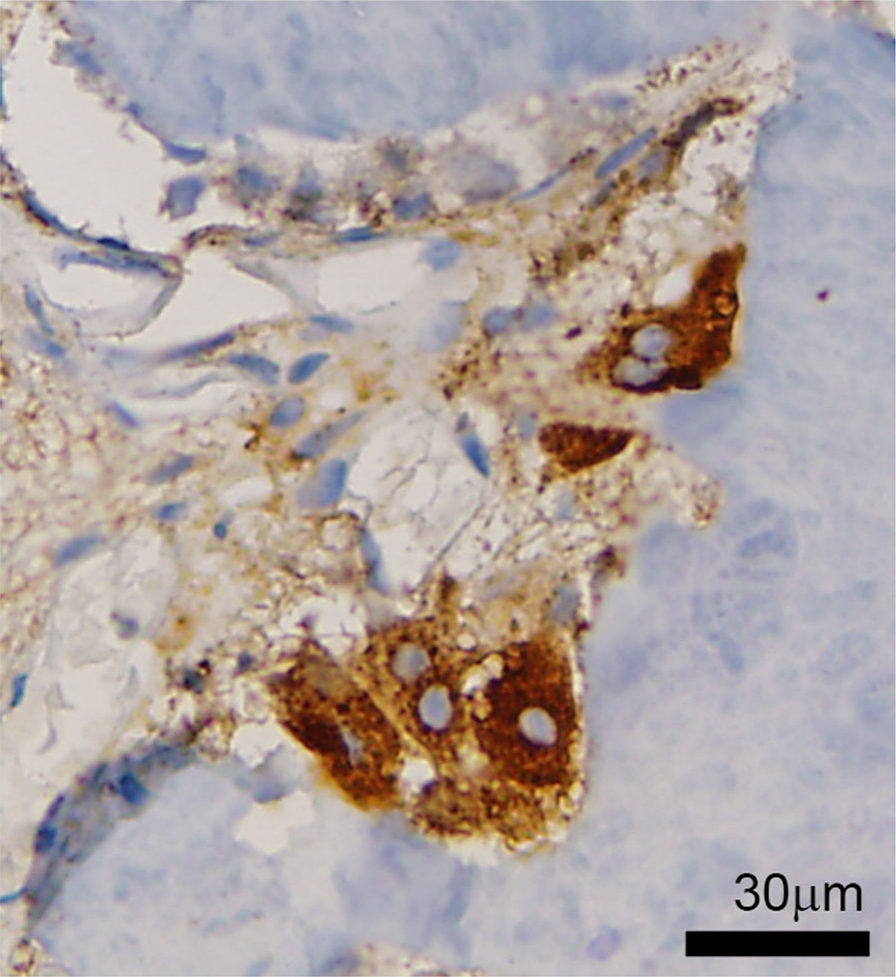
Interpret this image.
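Large multinucleated osteoclasts with intensely brown, granular cytoplasm sit along the margin of a pale blue, homogeneous matrix. Open clear spaces lined by thin flattened cells run through the upper left part of the field.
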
